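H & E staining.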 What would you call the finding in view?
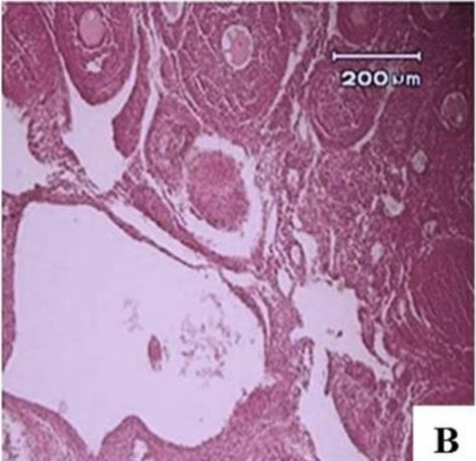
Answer: cysts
